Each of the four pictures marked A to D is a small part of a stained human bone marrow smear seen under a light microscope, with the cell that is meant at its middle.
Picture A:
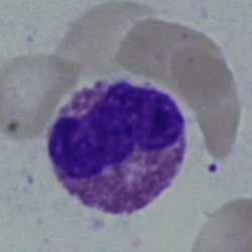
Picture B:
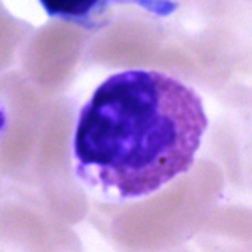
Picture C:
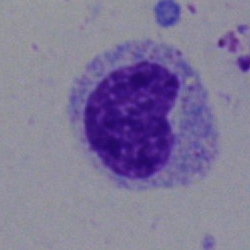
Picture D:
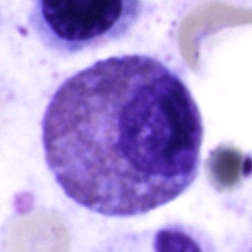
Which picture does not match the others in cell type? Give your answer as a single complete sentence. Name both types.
Picture C is the odd one out: it shows a metamyelocyte, while the others show eosinophils.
